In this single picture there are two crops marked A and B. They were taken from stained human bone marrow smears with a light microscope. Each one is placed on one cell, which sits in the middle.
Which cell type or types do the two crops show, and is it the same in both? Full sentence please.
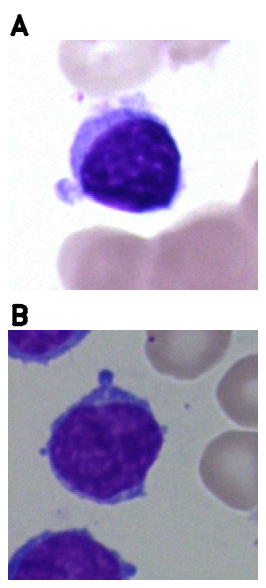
Yes, the cells that both crops show at the centre are lymphocytes.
